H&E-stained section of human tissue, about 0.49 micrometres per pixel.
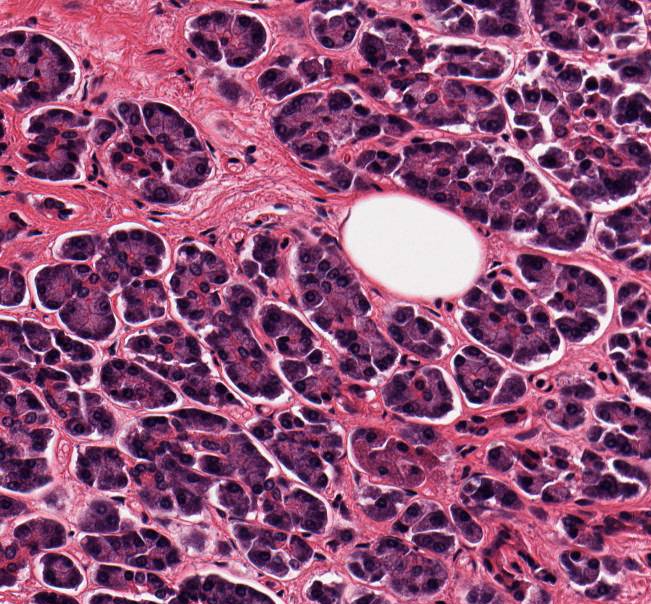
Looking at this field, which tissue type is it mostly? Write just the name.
exocrine pancreas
